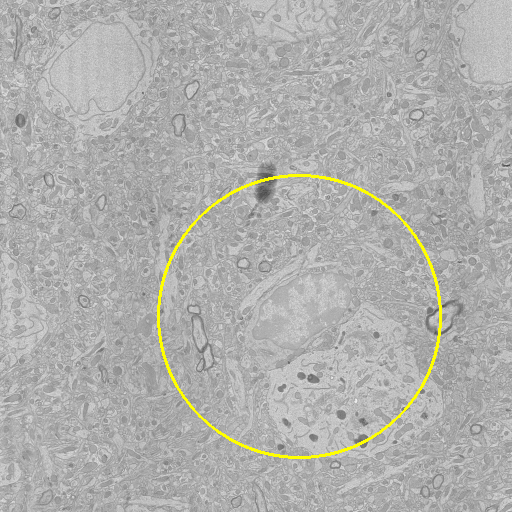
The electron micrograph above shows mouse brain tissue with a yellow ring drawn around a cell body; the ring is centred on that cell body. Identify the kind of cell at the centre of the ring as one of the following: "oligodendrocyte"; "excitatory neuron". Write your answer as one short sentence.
The cell at the centre of the ring is an oligodendrocyte.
